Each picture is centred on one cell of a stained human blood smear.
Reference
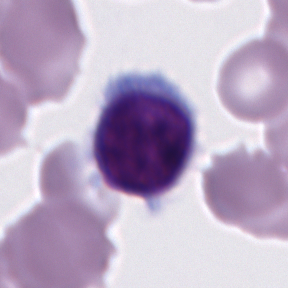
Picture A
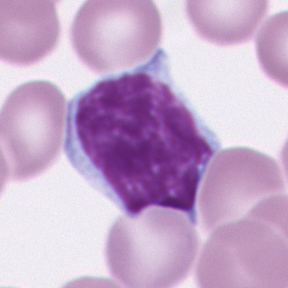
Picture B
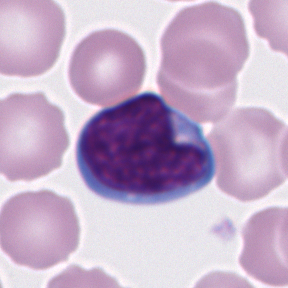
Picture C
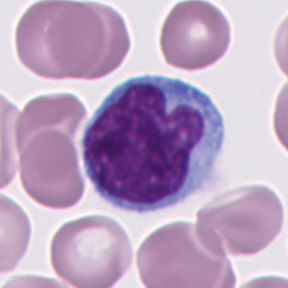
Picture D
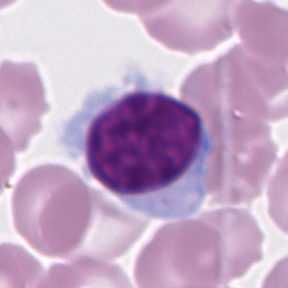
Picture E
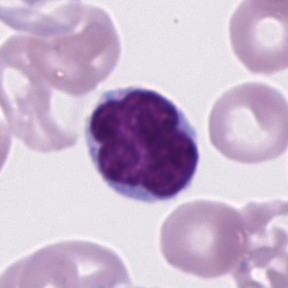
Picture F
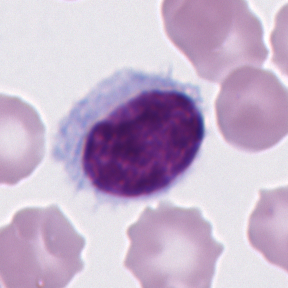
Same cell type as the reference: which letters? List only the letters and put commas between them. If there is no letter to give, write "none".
F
